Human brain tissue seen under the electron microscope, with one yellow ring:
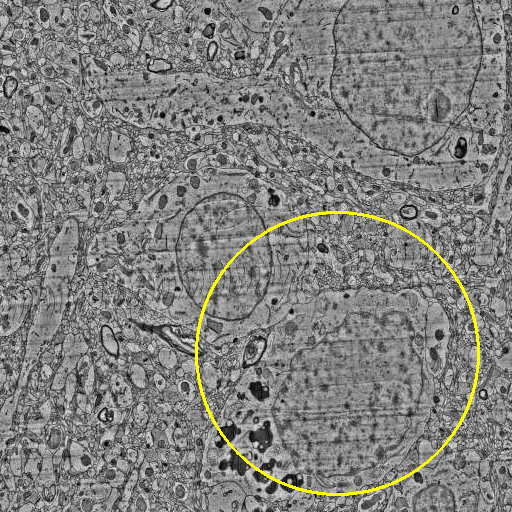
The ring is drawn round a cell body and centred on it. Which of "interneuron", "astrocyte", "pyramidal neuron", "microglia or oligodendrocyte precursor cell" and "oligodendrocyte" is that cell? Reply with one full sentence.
The picture shows an interneuron at the very centre of the yellow ring.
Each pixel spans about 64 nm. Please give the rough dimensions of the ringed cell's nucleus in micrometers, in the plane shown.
In this plane, the nucleus of the cell at the centre of the ring measures about 11 by 9 micrometres.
